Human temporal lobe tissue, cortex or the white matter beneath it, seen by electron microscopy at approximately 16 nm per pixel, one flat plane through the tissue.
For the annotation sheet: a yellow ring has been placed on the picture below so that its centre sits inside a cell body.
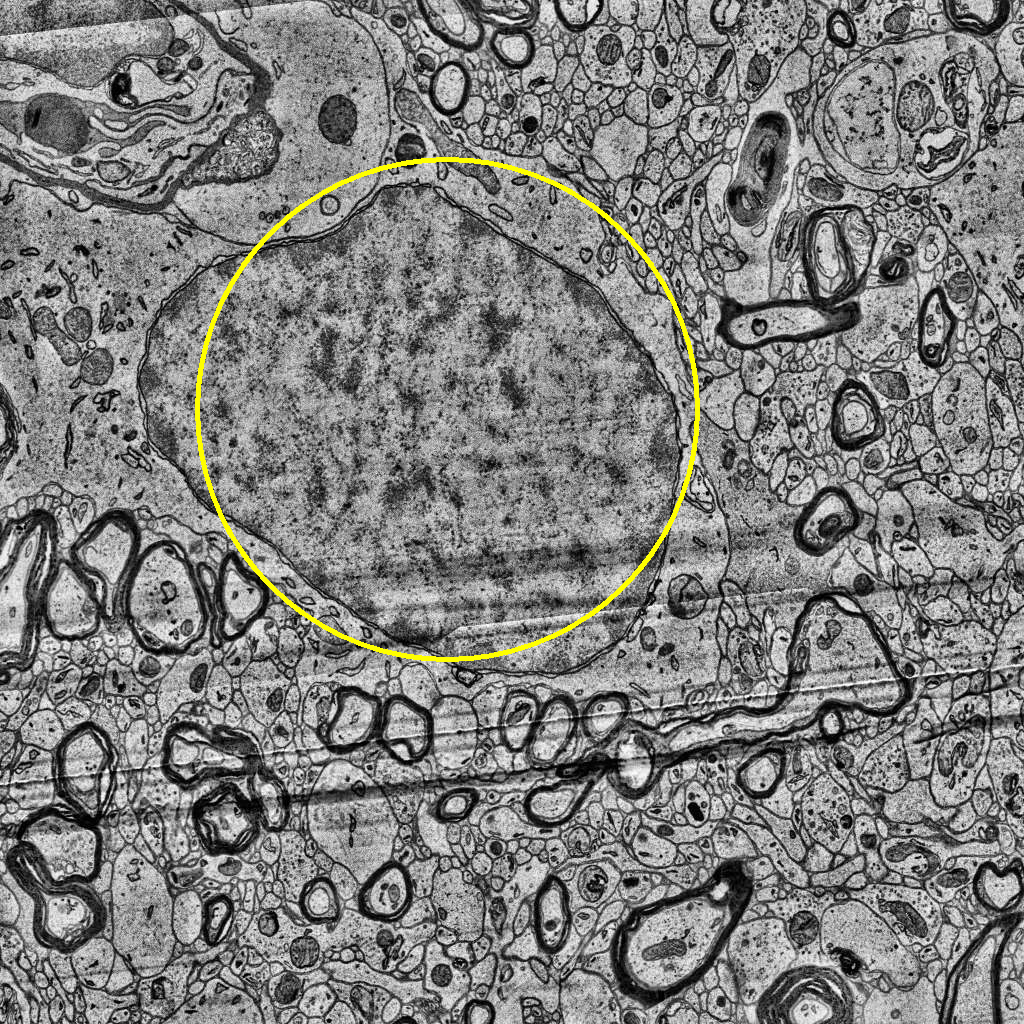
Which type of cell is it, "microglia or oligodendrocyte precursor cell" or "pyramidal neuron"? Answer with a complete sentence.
The cell at the ring's centre is a microglial cell or oligodendrocyte precursor cell.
